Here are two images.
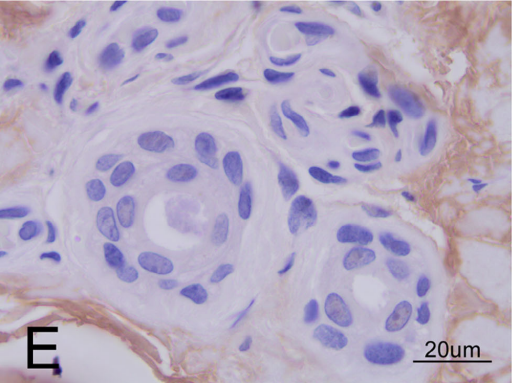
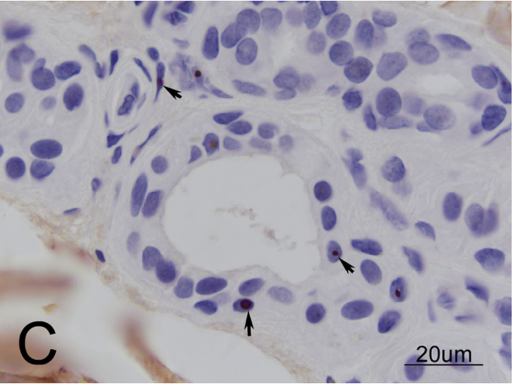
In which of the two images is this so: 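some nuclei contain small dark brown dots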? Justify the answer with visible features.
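First image: blue nuclei of duct cells show no brown dots. Second image: several nuclei contain a small dark brown dot marked by arrows.
Hence: the second image.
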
